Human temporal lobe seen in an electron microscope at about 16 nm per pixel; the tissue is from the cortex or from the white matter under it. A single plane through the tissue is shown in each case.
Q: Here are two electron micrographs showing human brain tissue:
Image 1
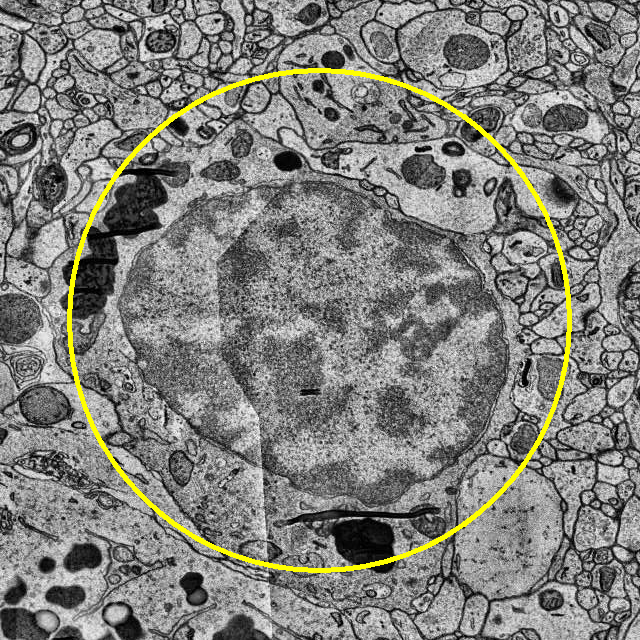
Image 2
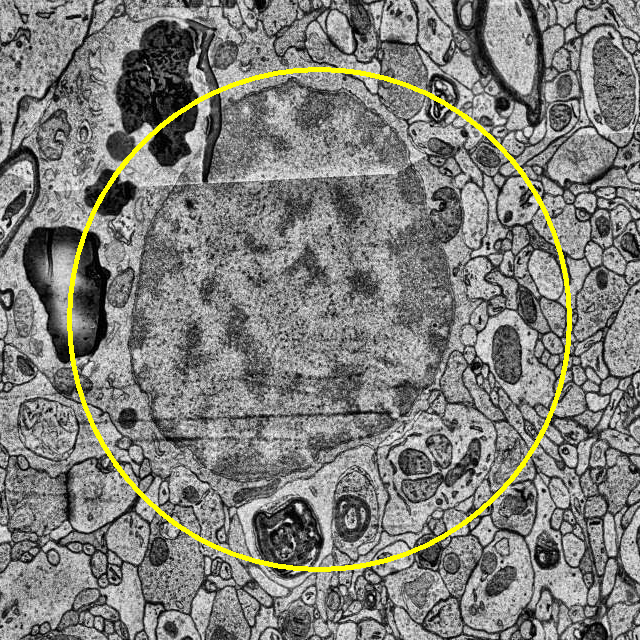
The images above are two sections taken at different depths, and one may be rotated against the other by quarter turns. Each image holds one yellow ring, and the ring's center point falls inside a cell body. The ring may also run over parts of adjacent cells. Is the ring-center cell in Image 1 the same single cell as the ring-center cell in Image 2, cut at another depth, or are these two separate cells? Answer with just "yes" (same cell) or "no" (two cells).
yes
